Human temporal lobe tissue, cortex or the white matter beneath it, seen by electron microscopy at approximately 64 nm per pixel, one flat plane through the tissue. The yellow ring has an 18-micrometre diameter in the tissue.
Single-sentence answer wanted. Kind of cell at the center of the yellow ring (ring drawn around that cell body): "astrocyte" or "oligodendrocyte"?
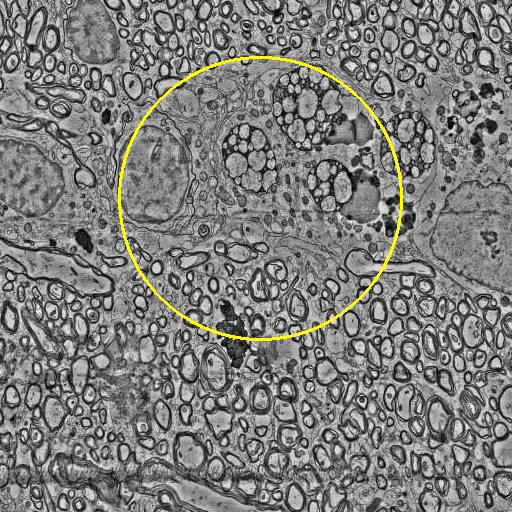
The cell centered in the ring is an astrocyte.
